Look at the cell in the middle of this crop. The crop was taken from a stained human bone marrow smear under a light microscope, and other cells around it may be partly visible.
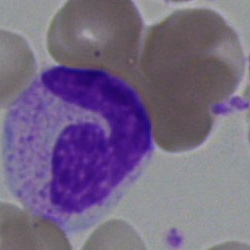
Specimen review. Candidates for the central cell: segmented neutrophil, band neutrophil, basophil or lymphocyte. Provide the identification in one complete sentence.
The cell in the exact centre of the crop is a band neutrophil.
